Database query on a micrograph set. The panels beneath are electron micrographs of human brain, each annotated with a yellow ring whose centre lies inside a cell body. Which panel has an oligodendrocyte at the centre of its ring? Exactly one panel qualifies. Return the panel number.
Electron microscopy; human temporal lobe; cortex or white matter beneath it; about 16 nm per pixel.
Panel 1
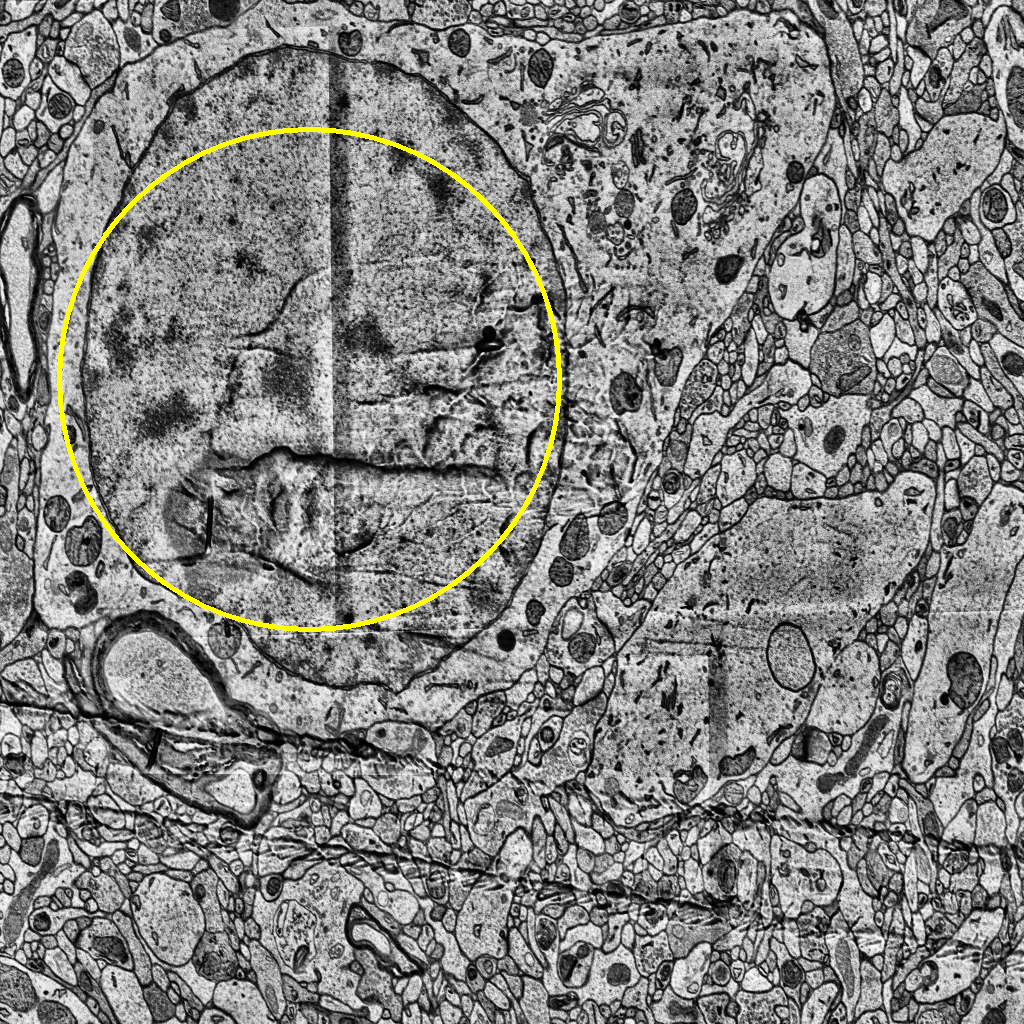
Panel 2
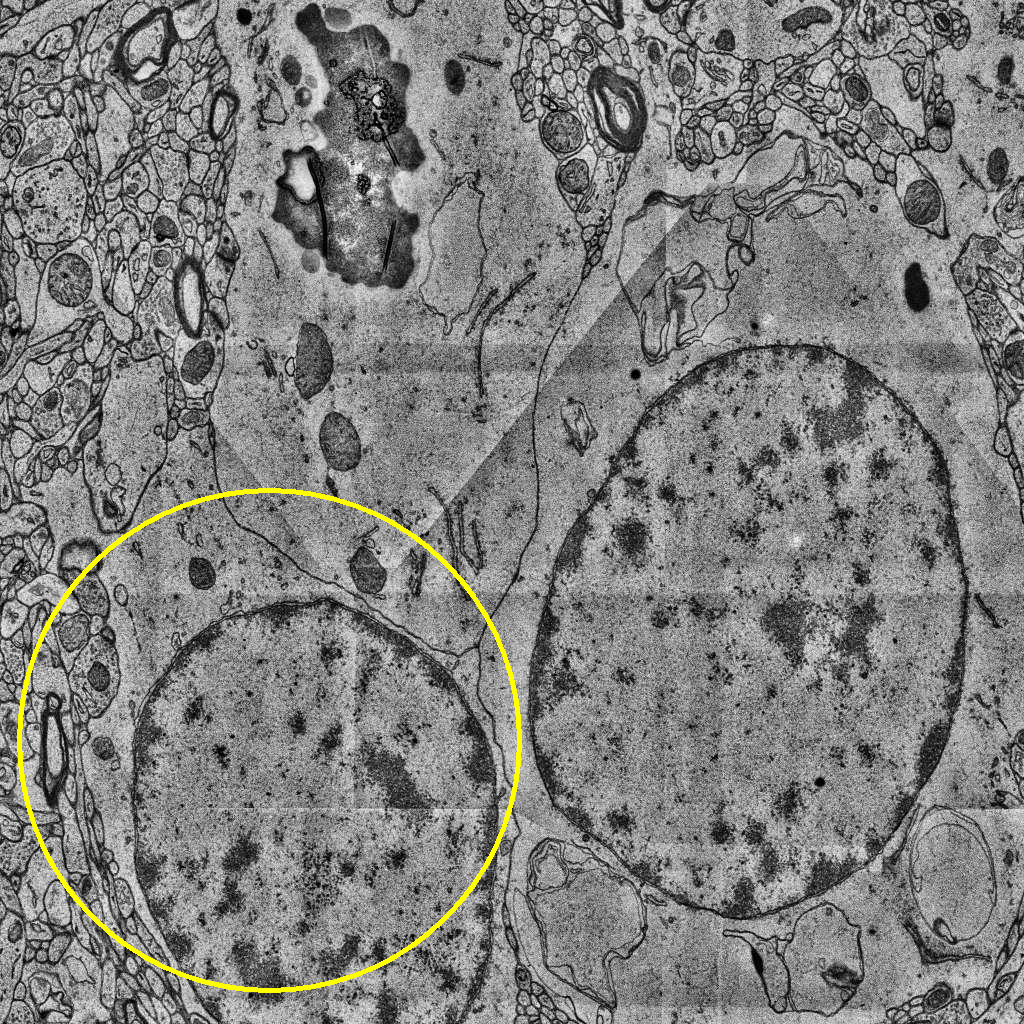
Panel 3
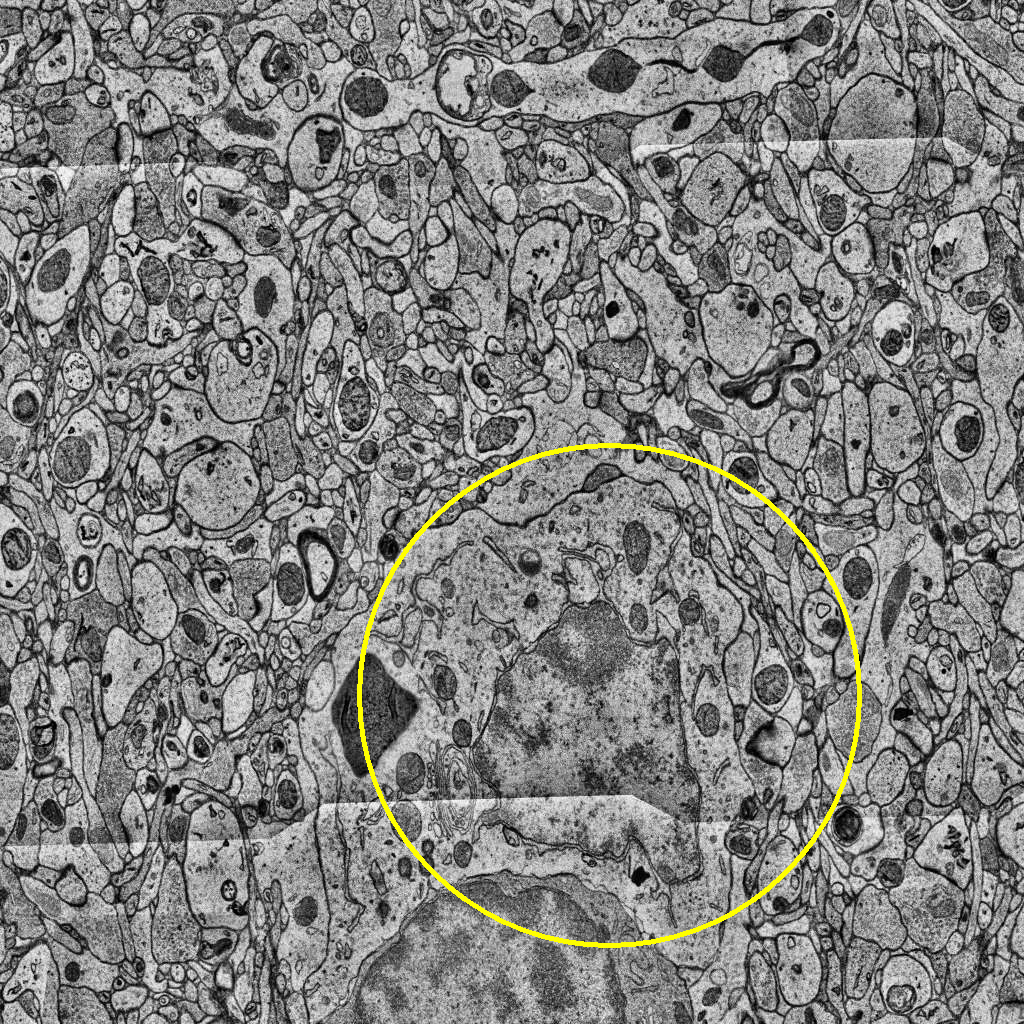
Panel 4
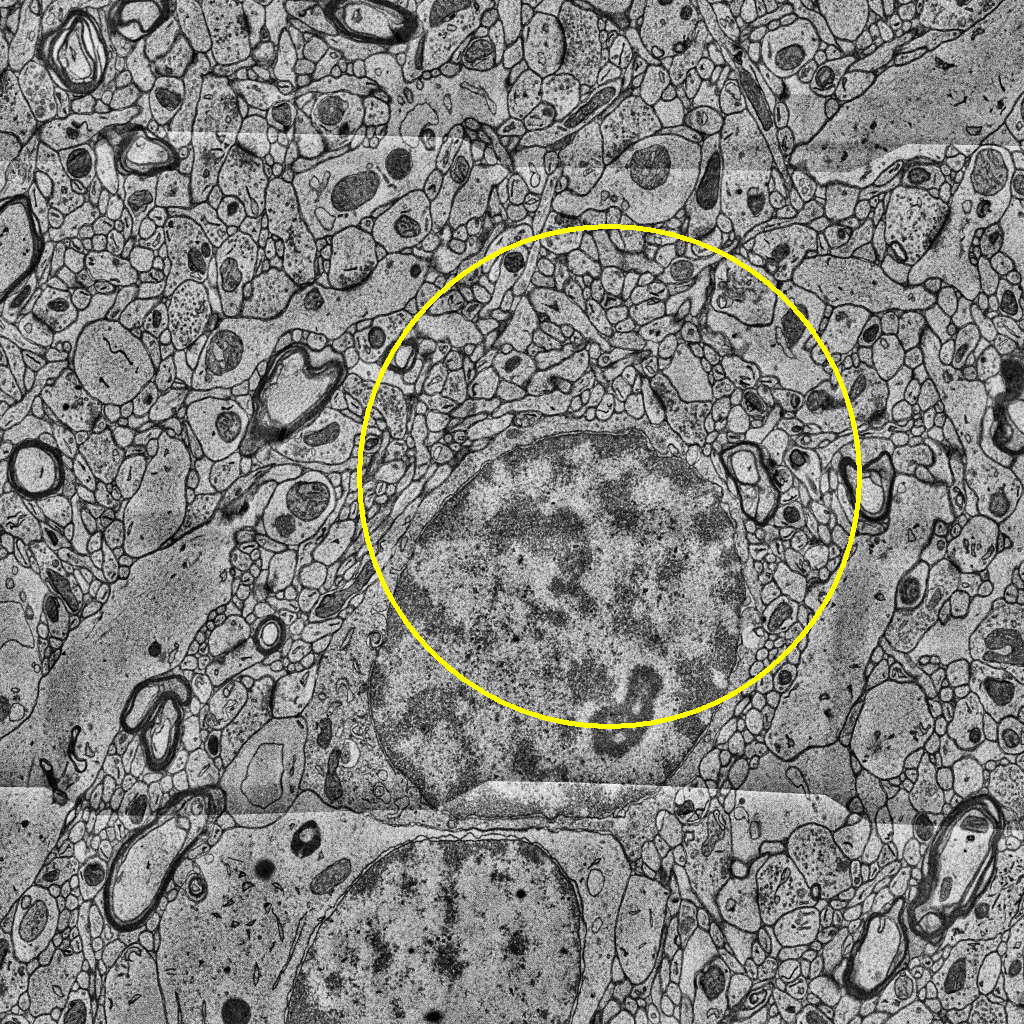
4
